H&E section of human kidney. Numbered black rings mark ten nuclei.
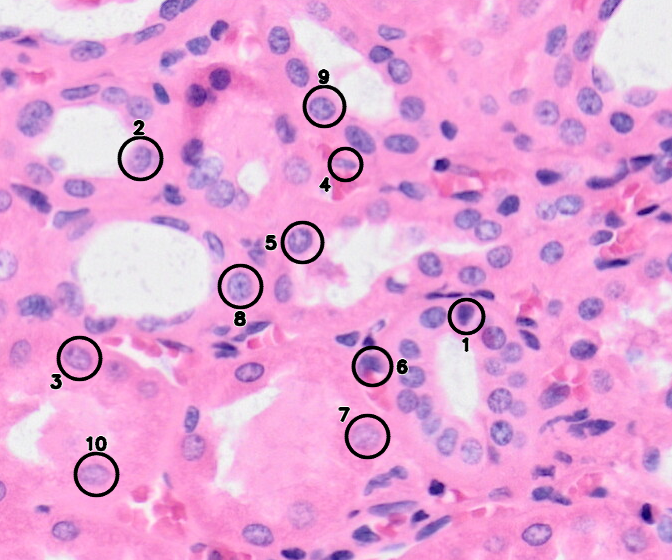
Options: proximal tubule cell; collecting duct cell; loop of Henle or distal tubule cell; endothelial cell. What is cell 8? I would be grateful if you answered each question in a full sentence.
That cell with number 8 is a loop of Henle or distal tubule cell.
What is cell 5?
The cell that carries the label 5 is a loop of Henle or distal tubule cell.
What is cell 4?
The correct label for cell 4 is an endothelial cell.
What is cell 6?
The cell referred to as 6 is an endothelial cell.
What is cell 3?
Belonging to a proximal tubule cell is the nucleus that carries the number 3.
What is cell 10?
The one numbered 10 among the marked cells is a proximal tubule cell.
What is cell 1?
The cell referenced by the number 1 is a collecting duct cell in this field.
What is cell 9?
Nucleus 9 in this section belongs to a collecting duct cell.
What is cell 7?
Numbered cell 7 is a proximal tubule cell in this tissue section.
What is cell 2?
To a collecting duct cell belongs the nucleus marked 2.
